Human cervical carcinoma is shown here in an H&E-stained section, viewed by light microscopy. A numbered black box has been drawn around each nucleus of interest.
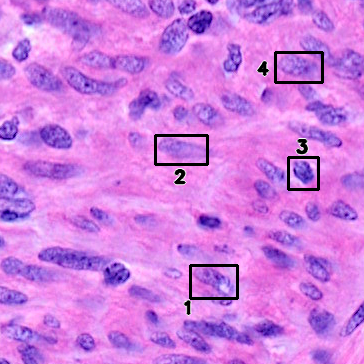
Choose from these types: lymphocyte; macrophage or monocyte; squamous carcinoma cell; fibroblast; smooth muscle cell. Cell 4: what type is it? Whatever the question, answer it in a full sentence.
The numeral 4 marks a smooth muscle cell in this section.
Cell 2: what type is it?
Of the numbered cells, the one labelled 2 is a smooth muscle cell.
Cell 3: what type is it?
Number 3 is placed on a lymphocyte here.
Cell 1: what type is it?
Within this field of view, the cell labelled 1 is a smooth muscle cell.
